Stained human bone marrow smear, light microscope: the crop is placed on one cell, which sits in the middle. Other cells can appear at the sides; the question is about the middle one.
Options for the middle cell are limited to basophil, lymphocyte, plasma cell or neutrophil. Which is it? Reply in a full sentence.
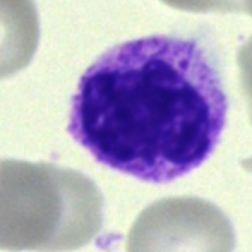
As for the cell in the middle, it is a basophil.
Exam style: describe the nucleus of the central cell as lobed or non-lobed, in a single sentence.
The cell carries one compact nucleus shaped round, oval or like a kidney.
